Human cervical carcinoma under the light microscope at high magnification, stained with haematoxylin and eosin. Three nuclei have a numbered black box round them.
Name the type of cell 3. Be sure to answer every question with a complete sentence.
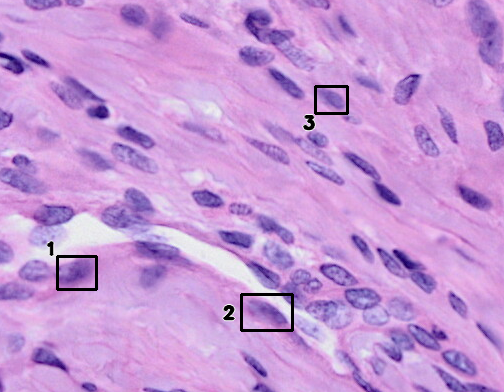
The cell marked with the number 3 is a fibroblast.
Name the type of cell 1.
In this section, the cell numbered 1 is an endothelial cell.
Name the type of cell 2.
The cell referenced by the number 2 is an endothelial cell in this field.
